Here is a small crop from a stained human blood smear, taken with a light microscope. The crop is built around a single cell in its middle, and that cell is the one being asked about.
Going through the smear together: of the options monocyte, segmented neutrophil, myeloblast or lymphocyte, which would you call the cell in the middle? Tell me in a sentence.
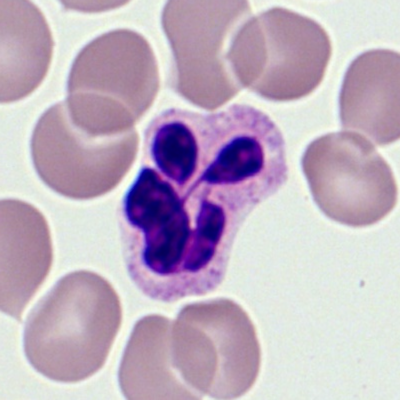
The crop centres on a single cell, and that cell is a segmented neutrophil.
